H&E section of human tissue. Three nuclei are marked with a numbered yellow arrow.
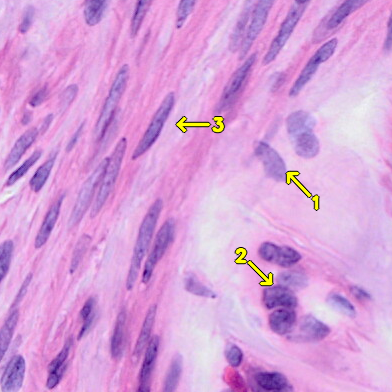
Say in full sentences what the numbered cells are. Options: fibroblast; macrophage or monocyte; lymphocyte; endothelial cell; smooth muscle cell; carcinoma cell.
Cell 1 is a fibroblast. Cell 2 is an endothelial cell. Cell 3 is a smooth muscle cell.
